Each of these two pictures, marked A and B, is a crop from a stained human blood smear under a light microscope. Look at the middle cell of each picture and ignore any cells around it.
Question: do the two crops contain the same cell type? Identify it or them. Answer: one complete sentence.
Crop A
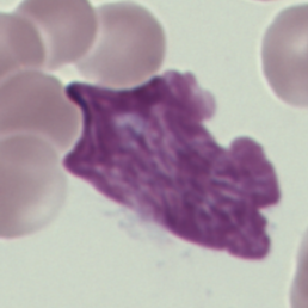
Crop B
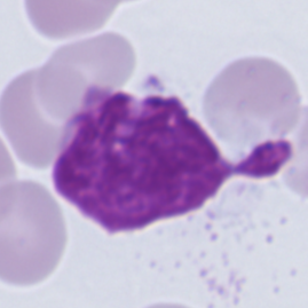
Yes, what both crops show is smudge cells.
